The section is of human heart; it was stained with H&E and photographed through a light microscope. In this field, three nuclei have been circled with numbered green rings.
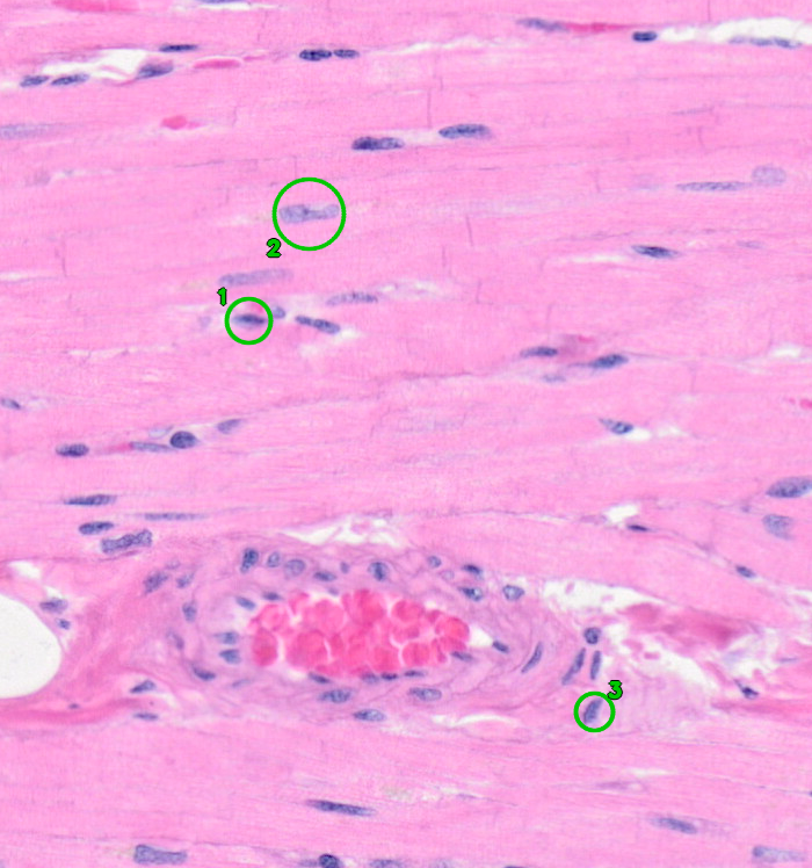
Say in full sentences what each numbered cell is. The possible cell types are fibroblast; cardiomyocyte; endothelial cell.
Cells 1 and 3 are fibroblasts. Cell 2 is a cardiomyocyte.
